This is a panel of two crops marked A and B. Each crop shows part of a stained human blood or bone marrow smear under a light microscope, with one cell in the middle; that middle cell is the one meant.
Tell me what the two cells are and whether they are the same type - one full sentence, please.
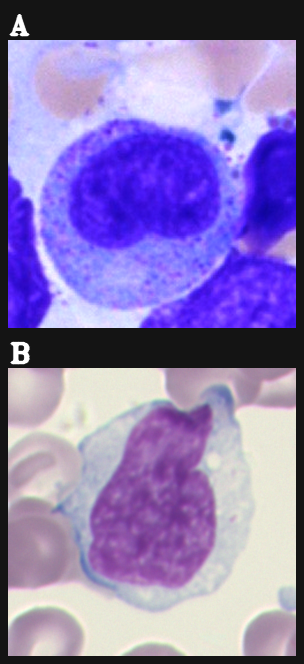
No, crop A presents a promyelocyte; crop B presents a blast.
